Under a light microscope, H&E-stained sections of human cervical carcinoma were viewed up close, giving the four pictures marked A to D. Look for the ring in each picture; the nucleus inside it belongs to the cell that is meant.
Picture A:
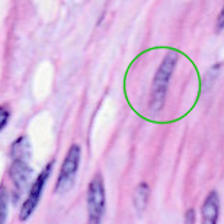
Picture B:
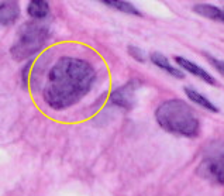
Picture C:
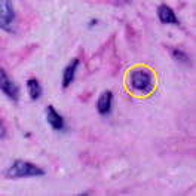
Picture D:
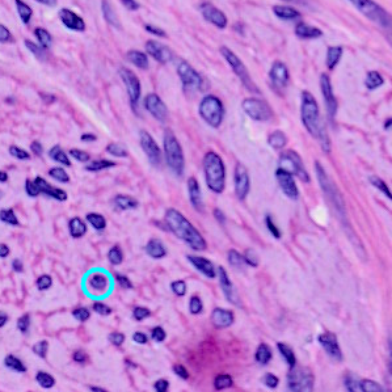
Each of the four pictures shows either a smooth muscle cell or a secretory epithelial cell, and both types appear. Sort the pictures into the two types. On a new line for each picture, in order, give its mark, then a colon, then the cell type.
A: smooth muscle cell
B: secretory epithelial cell
C: smooth muscle cell
D: smooth muscle cell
